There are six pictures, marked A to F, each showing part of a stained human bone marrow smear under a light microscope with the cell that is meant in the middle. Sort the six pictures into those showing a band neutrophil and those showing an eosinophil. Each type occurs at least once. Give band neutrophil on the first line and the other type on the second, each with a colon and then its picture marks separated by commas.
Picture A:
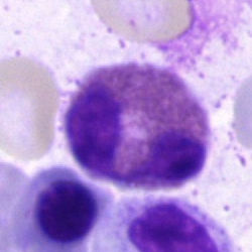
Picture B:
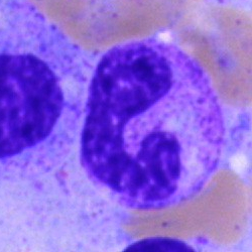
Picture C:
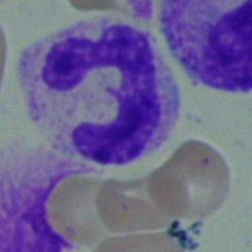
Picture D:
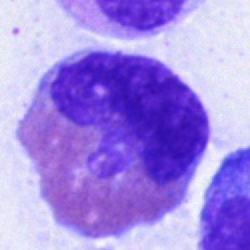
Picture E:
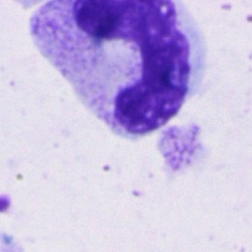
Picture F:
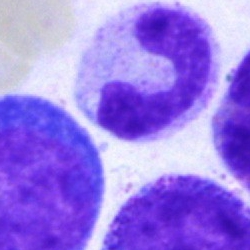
band neutrophil: B, C, E, F
eosinophil: A, D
